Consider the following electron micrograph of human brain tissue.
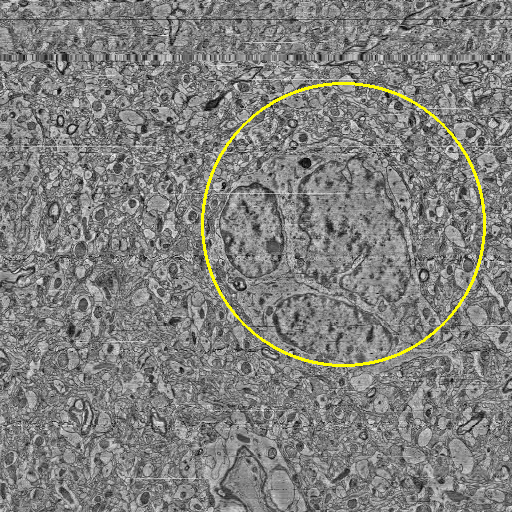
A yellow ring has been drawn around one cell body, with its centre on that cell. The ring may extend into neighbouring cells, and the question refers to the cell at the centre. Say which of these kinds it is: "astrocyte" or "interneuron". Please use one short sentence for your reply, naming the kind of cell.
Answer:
The centre of the ring falls on an interneuron.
